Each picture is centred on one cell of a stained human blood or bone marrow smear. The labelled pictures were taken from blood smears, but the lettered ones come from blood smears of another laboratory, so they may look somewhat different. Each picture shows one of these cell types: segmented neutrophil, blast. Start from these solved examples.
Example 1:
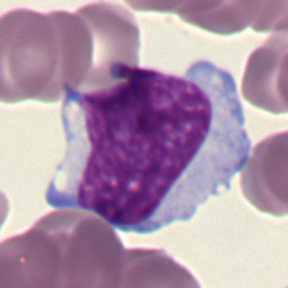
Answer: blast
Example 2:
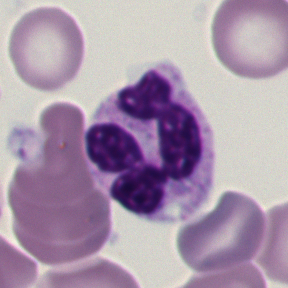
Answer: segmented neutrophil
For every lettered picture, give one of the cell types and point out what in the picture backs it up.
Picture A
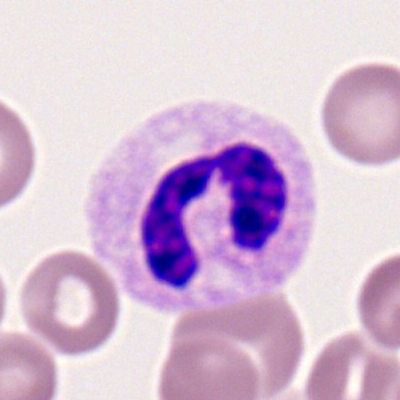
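segmented neutrophil. Reason: The cytoplasm is abundant and surrounds the nucleus on all sides.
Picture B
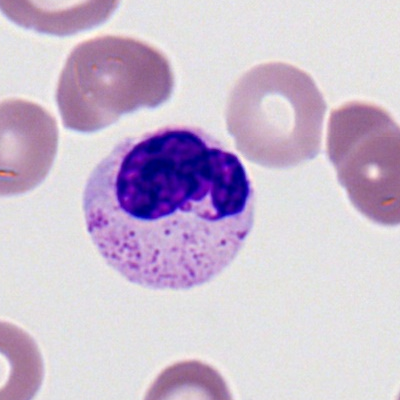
segmented neutrophil. Reason: The cytoplasm is plentiful and pale pinkish-lilac.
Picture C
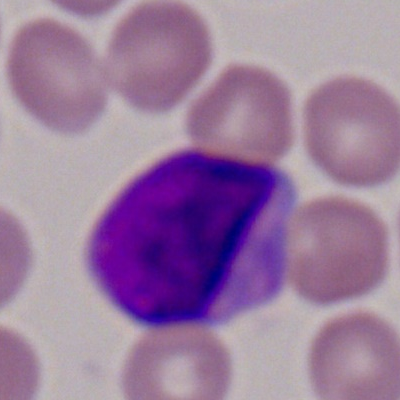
blast. Reason: The nucleus fills most of the cell and sits toward the left side.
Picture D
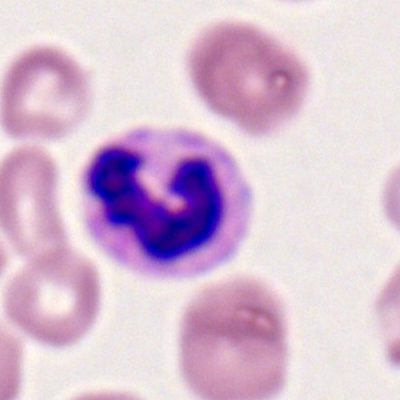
segmented neutrophil. Reason: The nucleus is bent into a curved, lobed shape around a pale central area.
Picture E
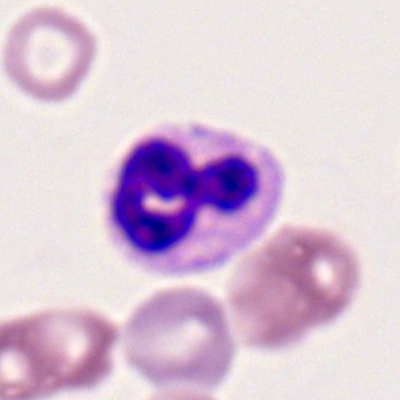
segmented neutrophil. Reason: The larger nuclear lobe lies on the left side of the cell.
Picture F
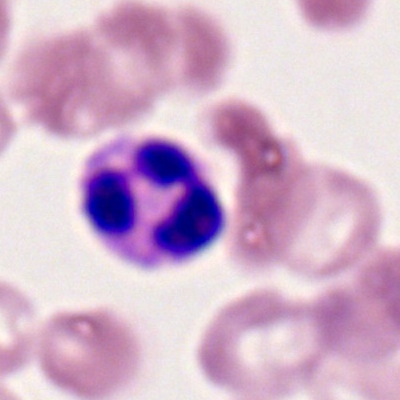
segmented neutrophil. Reason: The nucleus is divided into three separate lobes.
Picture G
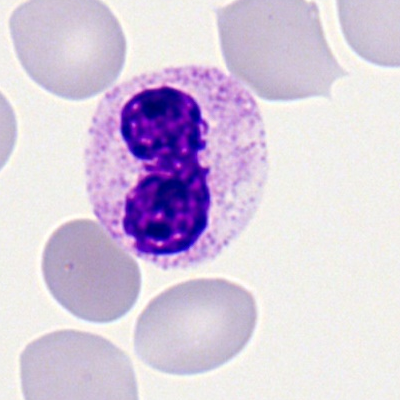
segmented neutrophil. Reason: The two nuclear lobes lie one above the other.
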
